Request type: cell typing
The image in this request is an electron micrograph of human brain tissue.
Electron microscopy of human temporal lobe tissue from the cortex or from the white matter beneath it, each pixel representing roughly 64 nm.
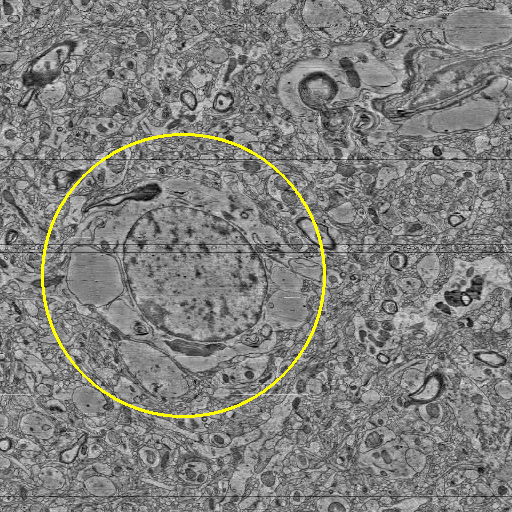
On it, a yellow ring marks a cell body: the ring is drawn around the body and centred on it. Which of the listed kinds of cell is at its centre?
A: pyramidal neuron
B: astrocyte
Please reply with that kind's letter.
B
